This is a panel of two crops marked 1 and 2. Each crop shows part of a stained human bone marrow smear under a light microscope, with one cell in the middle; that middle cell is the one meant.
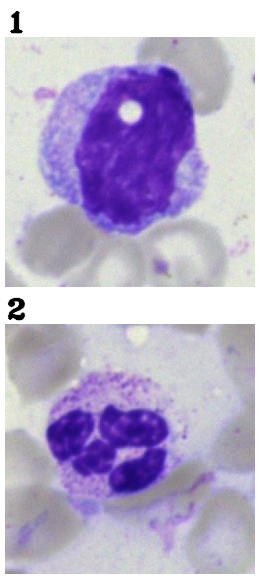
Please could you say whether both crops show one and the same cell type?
no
